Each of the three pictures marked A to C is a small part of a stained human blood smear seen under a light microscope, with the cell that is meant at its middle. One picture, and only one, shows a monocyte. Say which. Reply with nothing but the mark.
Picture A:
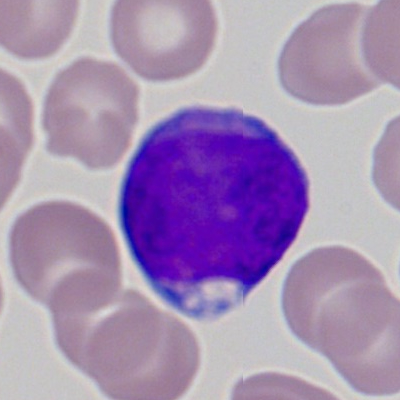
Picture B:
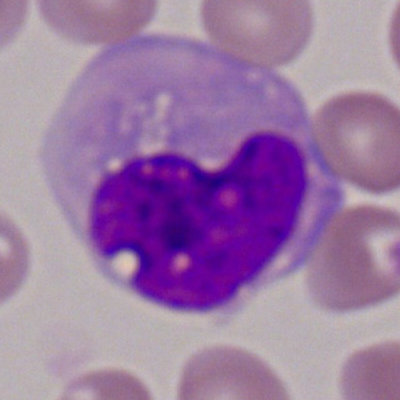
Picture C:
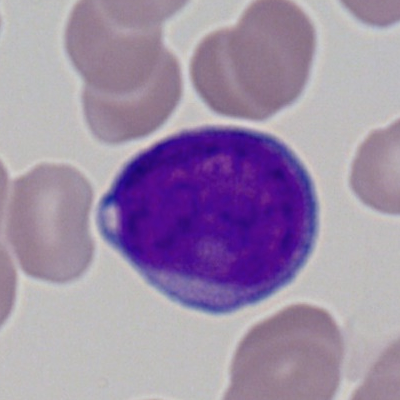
B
